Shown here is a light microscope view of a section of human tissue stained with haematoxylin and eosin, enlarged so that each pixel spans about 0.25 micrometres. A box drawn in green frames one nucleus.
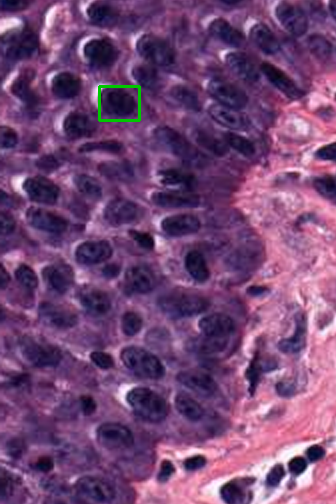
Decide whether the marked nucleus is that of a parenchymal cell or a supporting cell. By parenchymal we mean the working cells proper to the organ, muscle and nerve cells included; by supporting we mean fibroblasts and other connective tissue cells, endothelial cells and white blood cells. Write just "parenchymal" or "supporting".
parenchymal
